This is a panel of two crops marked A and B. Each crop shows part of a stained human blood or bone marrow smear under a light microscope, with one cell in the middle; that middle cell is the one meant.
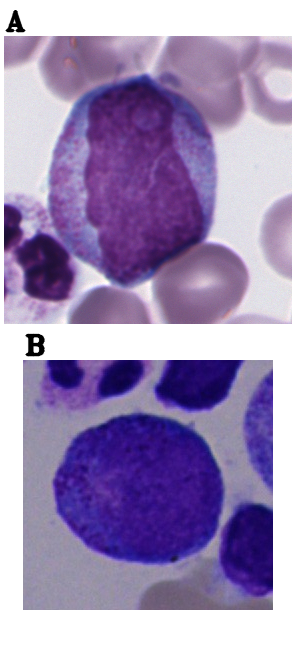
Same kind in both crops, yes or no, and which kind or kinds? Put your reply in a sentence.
Yes, in both of the crops, the central cells are promyelocytes.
